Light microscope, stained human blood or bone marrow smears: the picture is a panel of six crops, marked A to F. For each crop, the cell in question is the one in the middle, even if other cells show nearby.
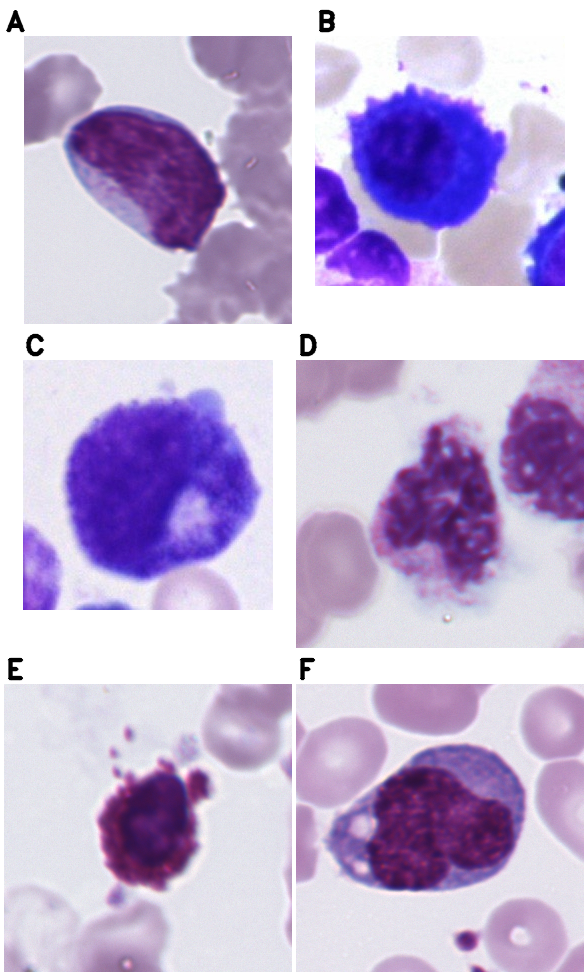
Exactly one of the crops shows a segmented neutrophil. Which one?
D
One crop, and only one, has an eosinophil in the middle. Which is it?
E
